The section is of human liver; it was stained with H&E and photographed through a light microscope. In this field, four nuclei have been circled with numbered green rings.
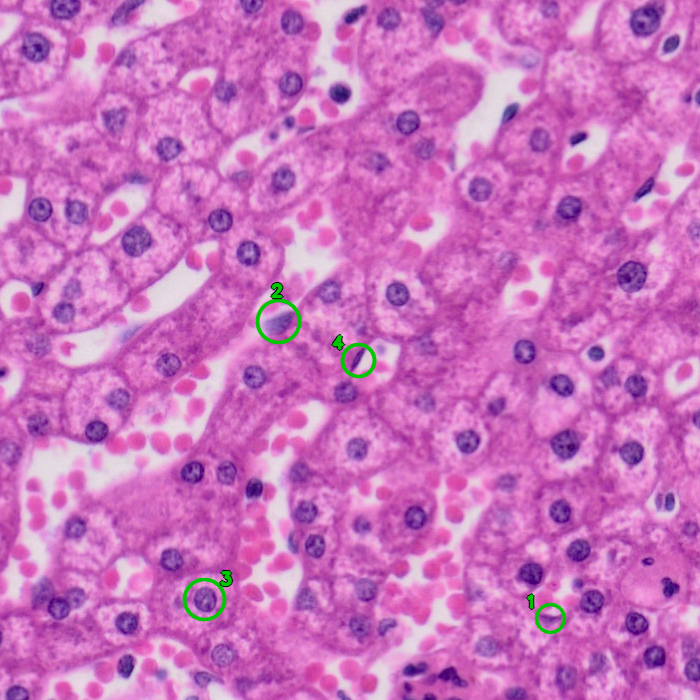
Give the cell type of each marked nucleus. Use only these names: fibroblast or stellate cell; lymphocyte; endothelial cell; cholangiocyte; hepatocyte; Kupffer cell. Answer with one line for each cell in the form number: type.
1: endothelial cell
2: endothelial cell
3: hepatocyte
4: endothelial cell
